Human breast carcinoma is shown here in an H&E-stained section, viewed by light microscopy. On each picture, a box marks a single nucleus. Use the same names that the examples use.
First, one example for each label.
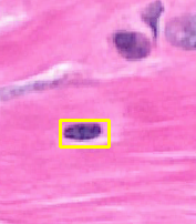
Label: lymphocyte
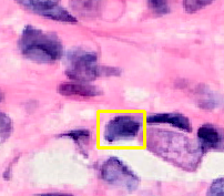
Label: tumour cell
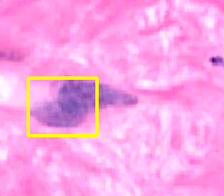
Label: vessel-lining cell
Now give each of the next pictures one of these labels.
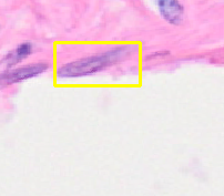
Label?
vessel-lining cell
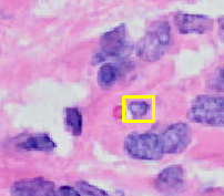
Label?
vessel-lining cell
